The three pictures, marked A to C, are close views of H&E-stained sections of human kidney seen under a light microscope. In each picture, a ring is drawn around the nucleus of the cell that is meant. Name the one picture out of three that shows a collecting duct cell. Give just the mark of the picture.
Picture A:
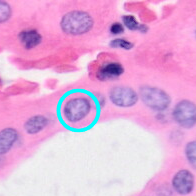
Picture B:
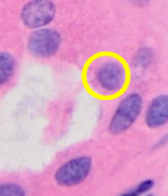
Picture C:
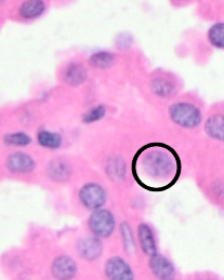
A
